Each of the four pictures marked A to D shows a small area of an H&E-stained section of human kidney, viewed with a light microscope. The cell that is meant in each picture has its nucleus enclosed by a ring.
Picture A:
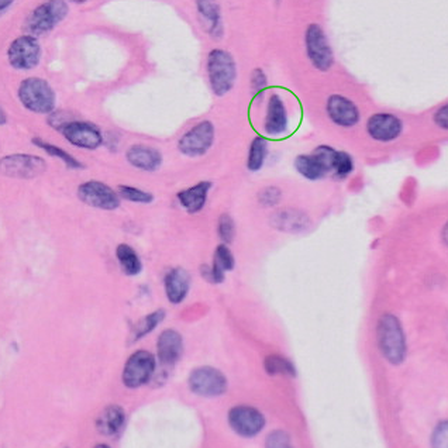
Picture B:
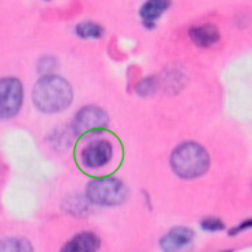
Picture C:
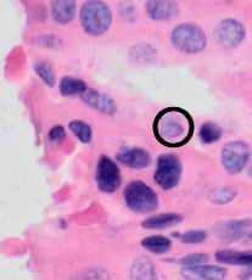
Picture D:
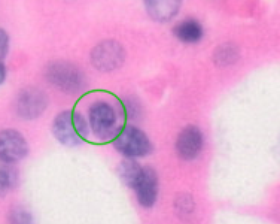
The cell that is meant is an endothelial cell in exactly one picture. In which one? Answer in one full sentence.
Picture A is the one that shows the endothelial cell.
